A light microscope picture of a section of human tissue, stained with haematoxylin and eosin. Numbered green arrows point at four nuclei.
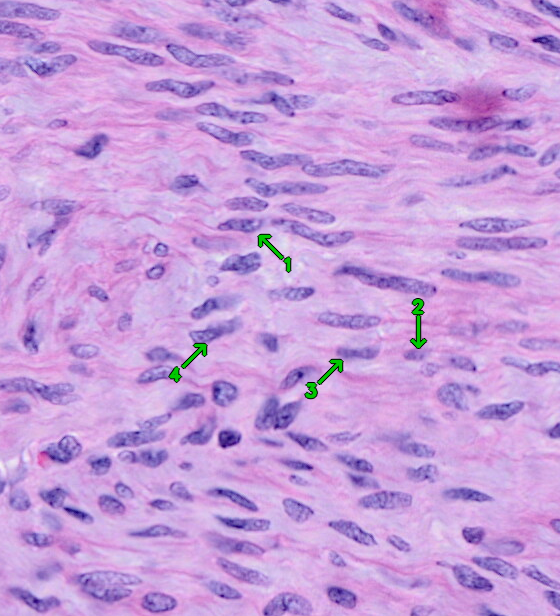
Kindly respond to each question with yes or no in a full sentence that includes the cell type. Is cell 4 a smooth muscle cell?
No, the cell carrying number 4 is a fibroblast, not a smooth muscle cell.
